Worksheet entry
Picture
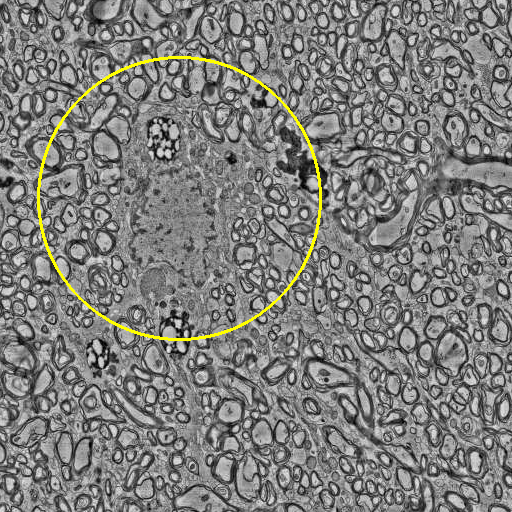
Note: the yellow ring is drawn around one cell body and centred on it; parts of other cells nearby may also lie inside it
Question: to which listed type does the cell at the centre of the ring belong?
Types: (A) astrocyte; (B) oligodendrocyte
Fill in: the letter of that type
A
